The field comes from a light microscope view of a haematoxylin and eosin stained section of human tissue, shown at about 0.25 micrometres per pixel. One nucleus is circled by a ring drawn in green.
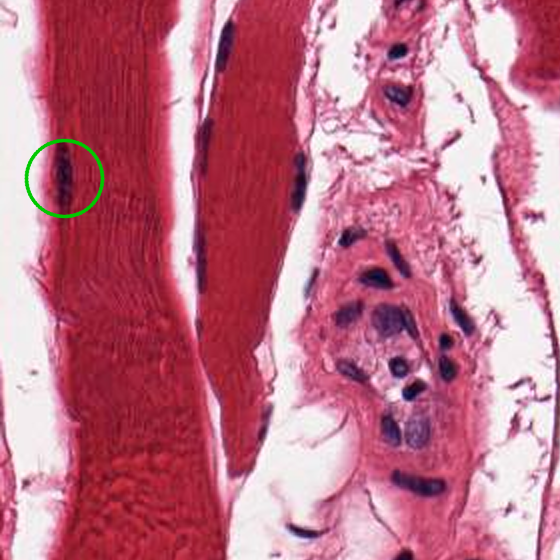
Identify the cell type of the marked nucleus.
skeletal muscle fibre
